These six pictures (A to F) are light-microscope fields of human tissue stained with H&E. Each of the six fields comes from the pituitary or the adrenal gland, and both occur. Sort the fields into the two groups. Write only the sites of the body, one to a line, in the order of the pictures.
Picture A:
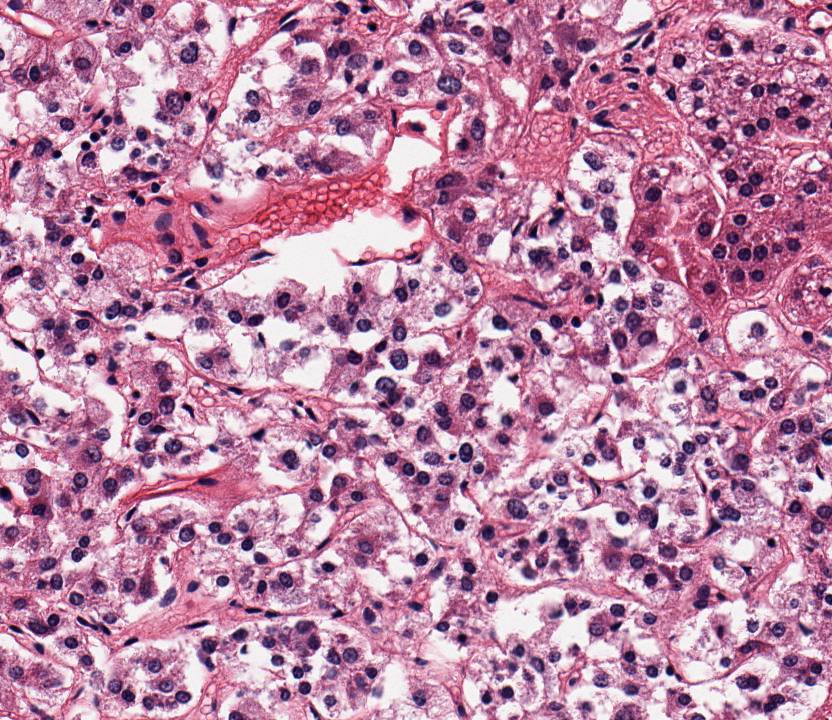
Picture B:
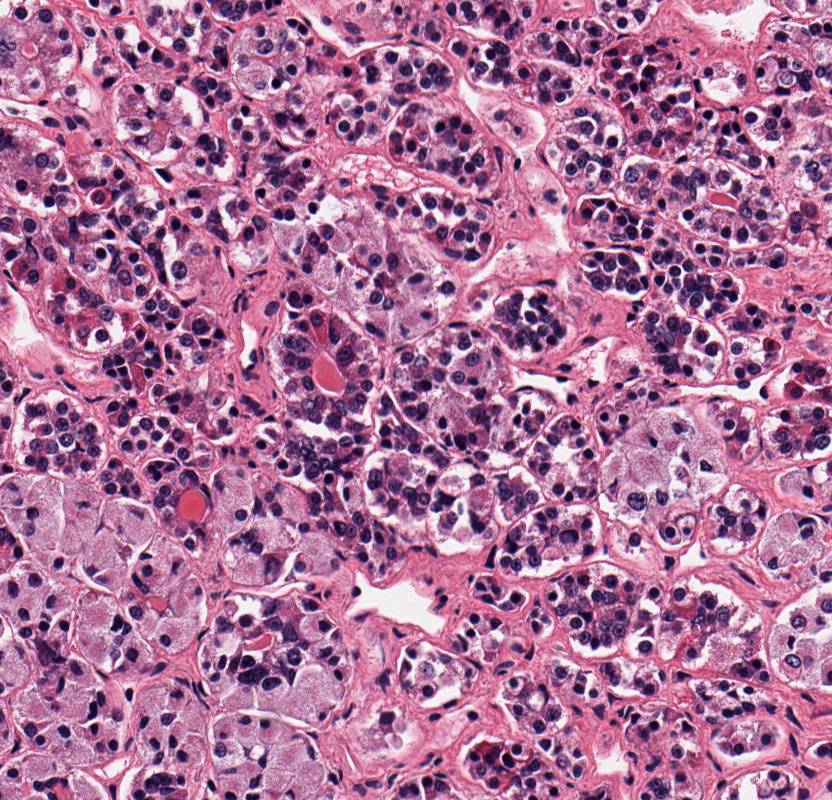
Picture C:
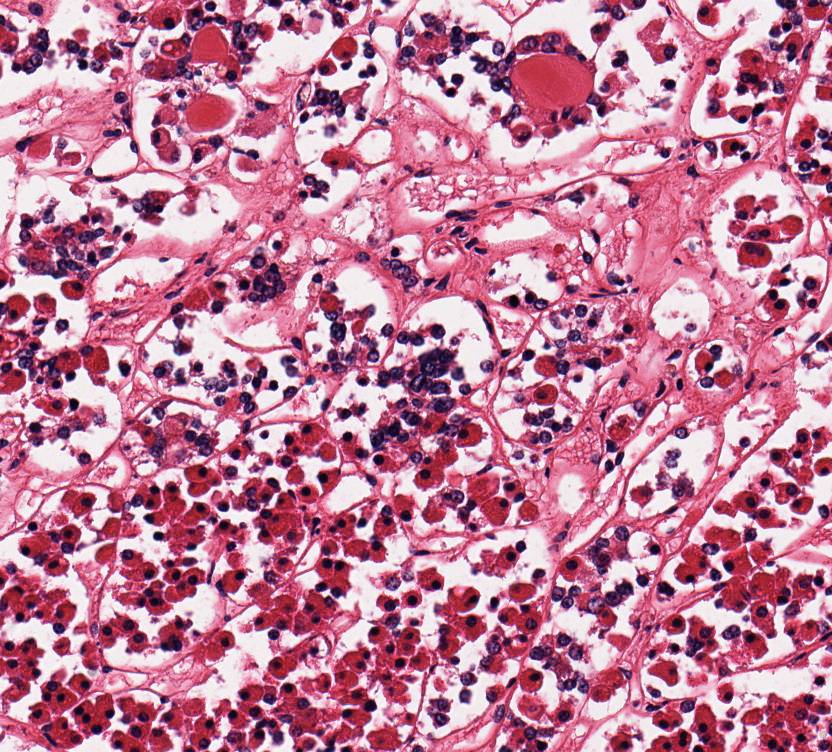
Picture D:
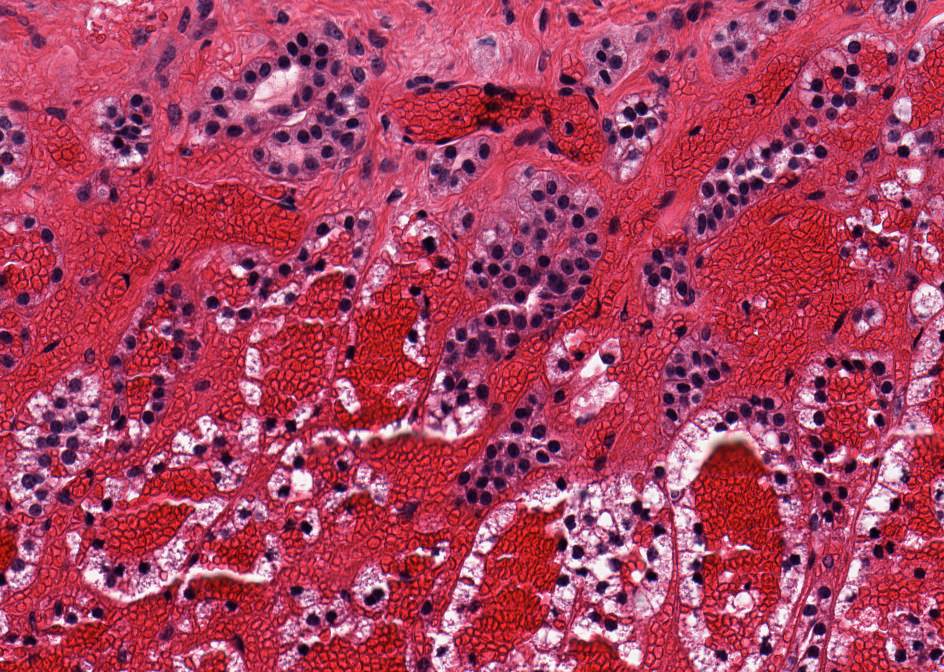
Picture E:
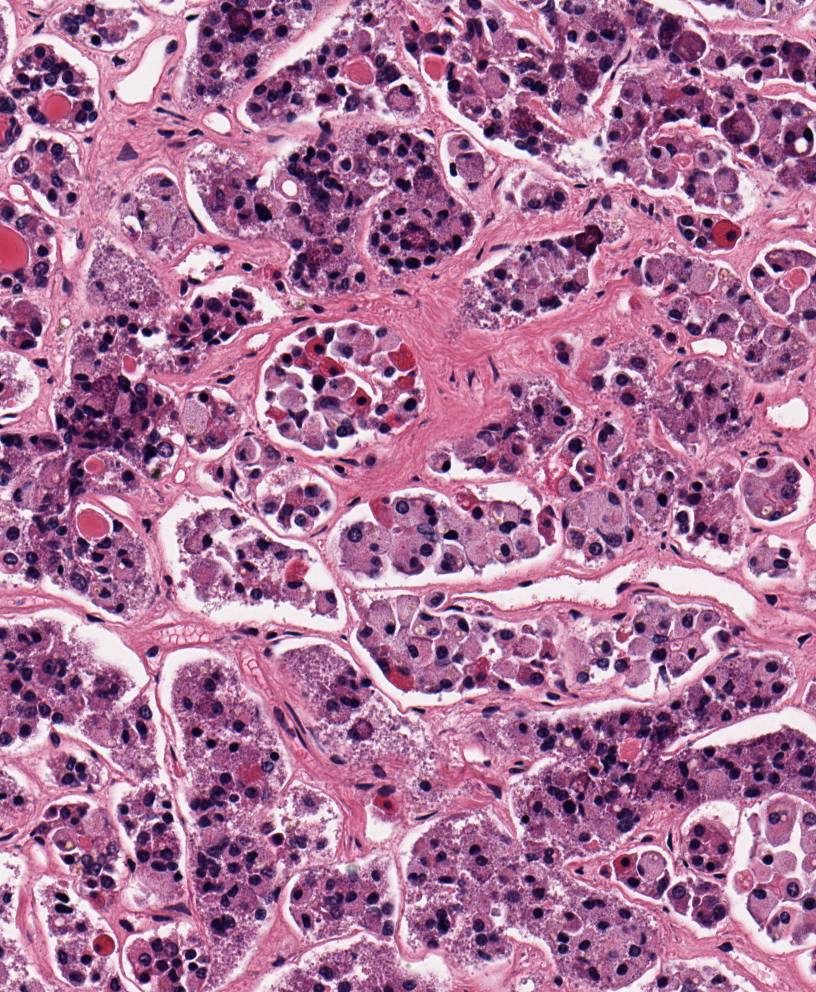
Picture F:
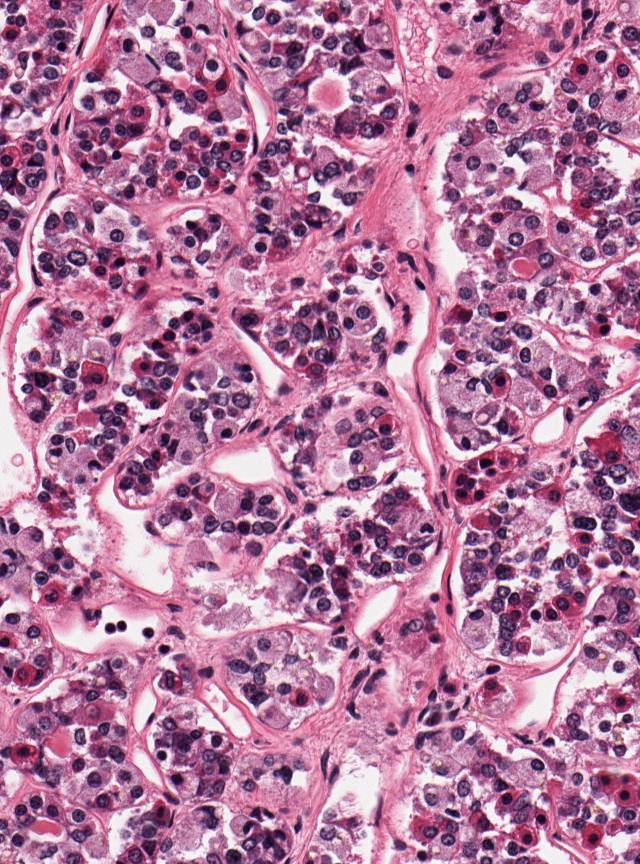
adrenal gland
pituitary
pituitary
adrenal gland
pituitary
pituitary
